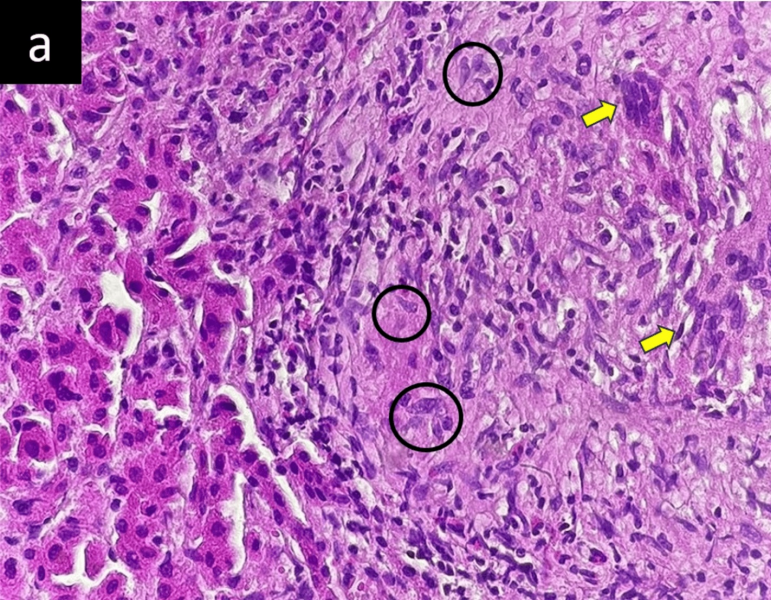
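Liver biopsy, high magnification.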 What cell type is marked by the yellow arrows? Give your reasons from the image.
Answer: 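The upper arrow points to a large cell with several nuclei clustered in a broad pink cytoplasm.
Conclusion: multinucleated giant cells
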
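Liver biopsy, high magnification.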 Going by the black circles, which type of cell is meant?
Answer: Epithelioid cells.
